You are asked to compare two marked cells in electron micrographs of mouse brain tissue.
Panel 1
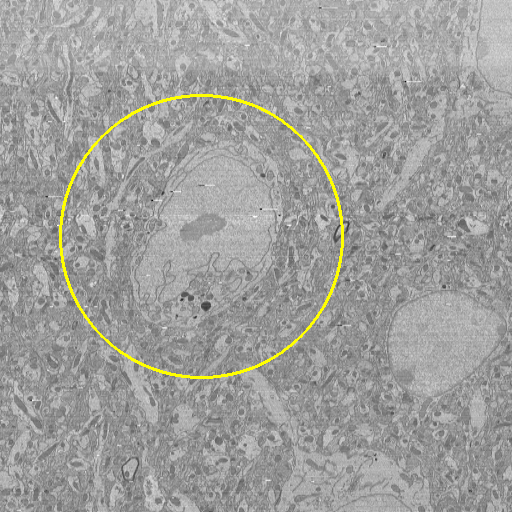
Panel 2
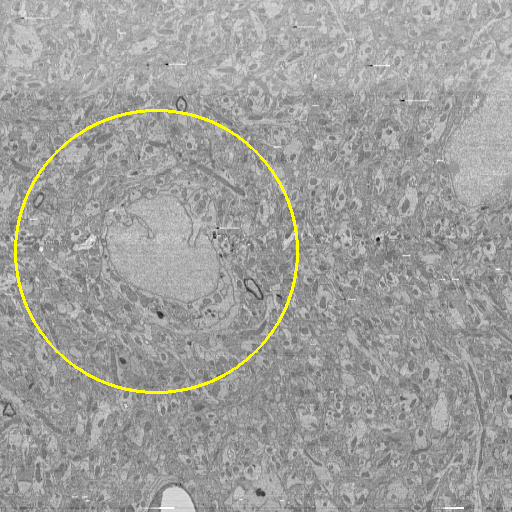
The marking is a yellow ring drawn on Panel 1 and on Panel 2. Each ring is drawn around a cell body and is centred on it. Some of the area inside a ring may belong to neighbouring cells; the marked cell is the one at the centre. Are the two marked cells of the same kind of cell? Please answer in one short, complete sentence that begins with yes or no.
Yes, the two marked cells are of the same kind.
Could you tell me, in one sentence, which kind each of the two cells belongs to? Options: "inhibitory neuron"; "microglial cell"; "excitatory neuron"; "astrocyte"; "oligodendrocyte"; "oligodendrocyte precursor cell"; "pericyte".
The first and the second cell are each an inhibitory neuron.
